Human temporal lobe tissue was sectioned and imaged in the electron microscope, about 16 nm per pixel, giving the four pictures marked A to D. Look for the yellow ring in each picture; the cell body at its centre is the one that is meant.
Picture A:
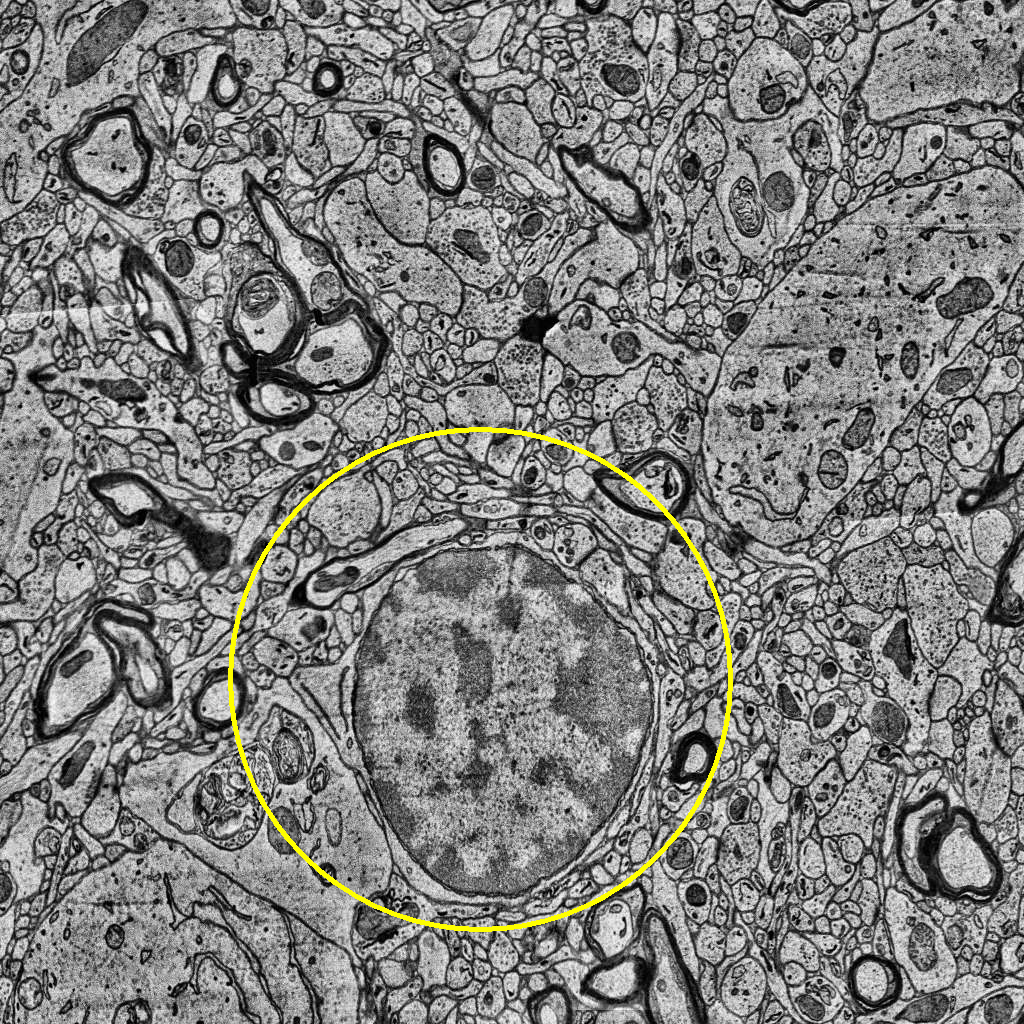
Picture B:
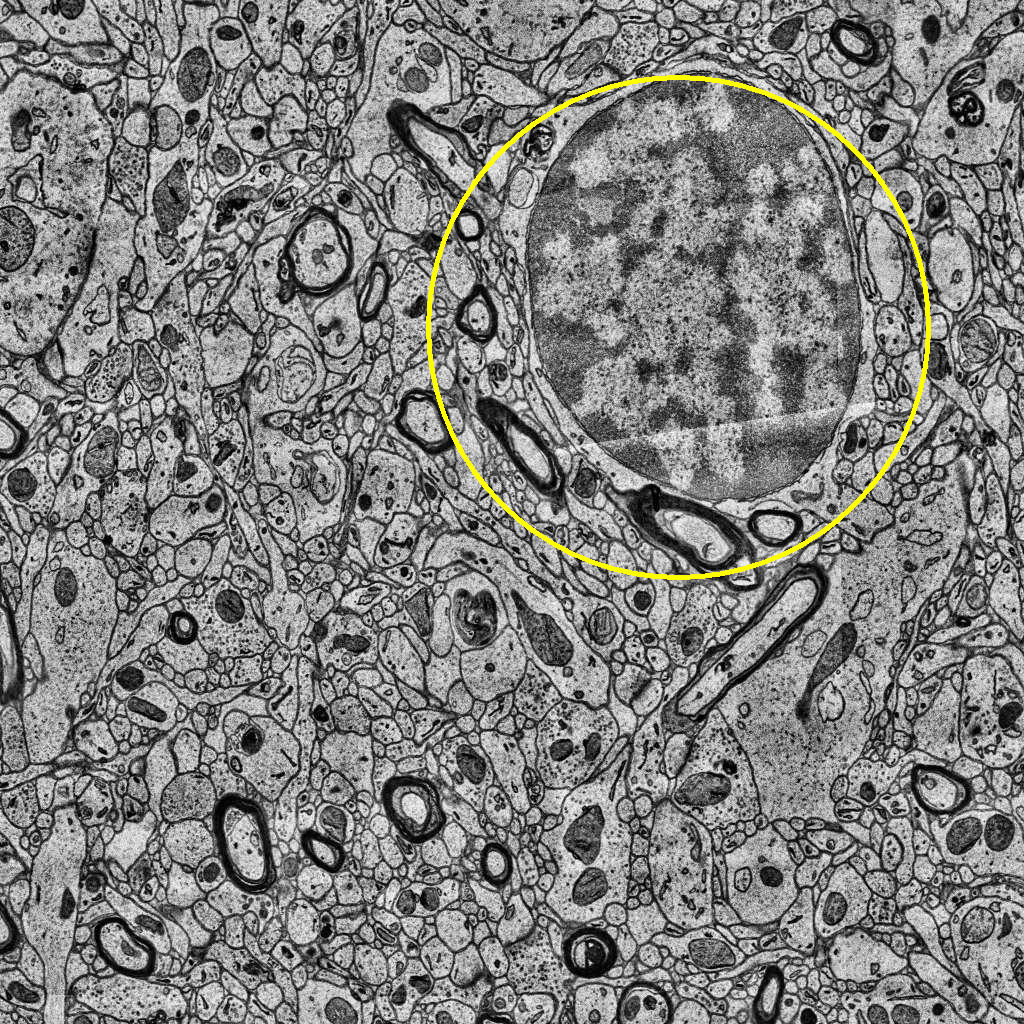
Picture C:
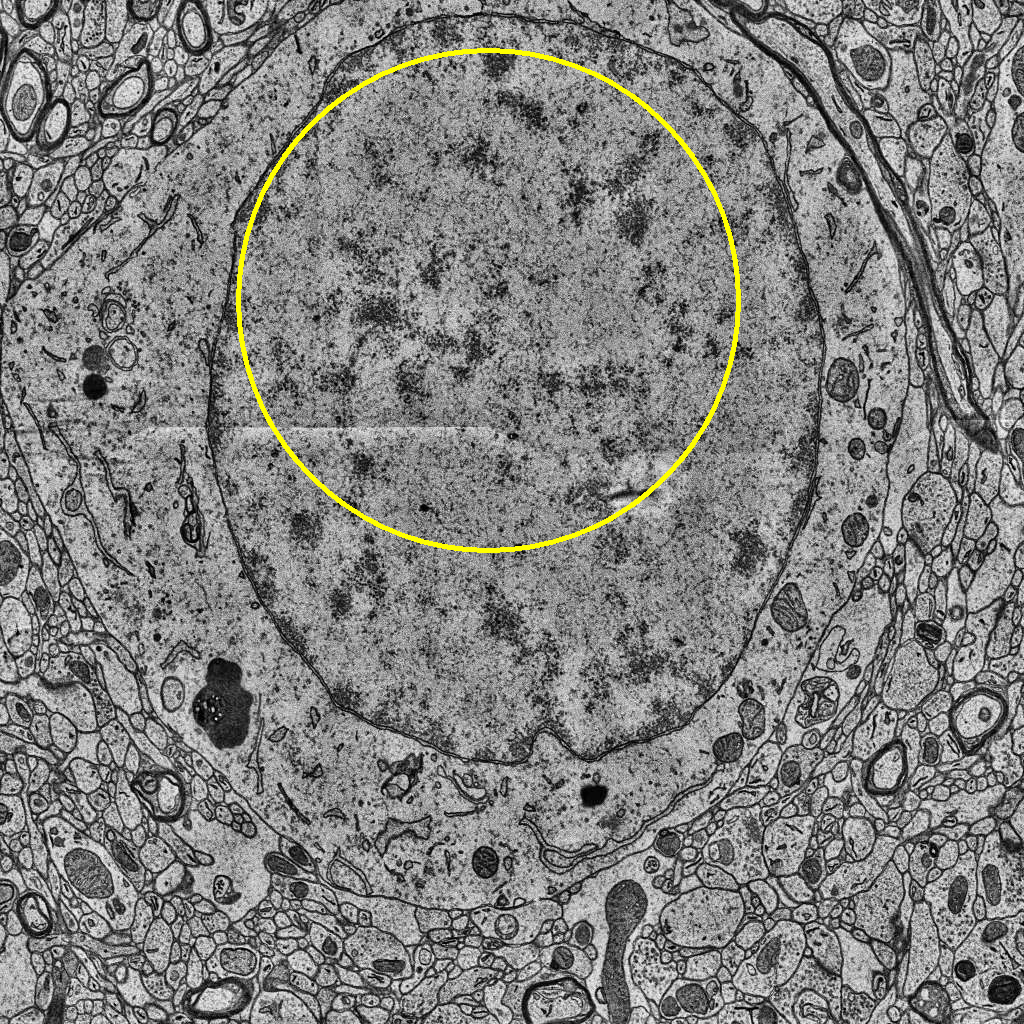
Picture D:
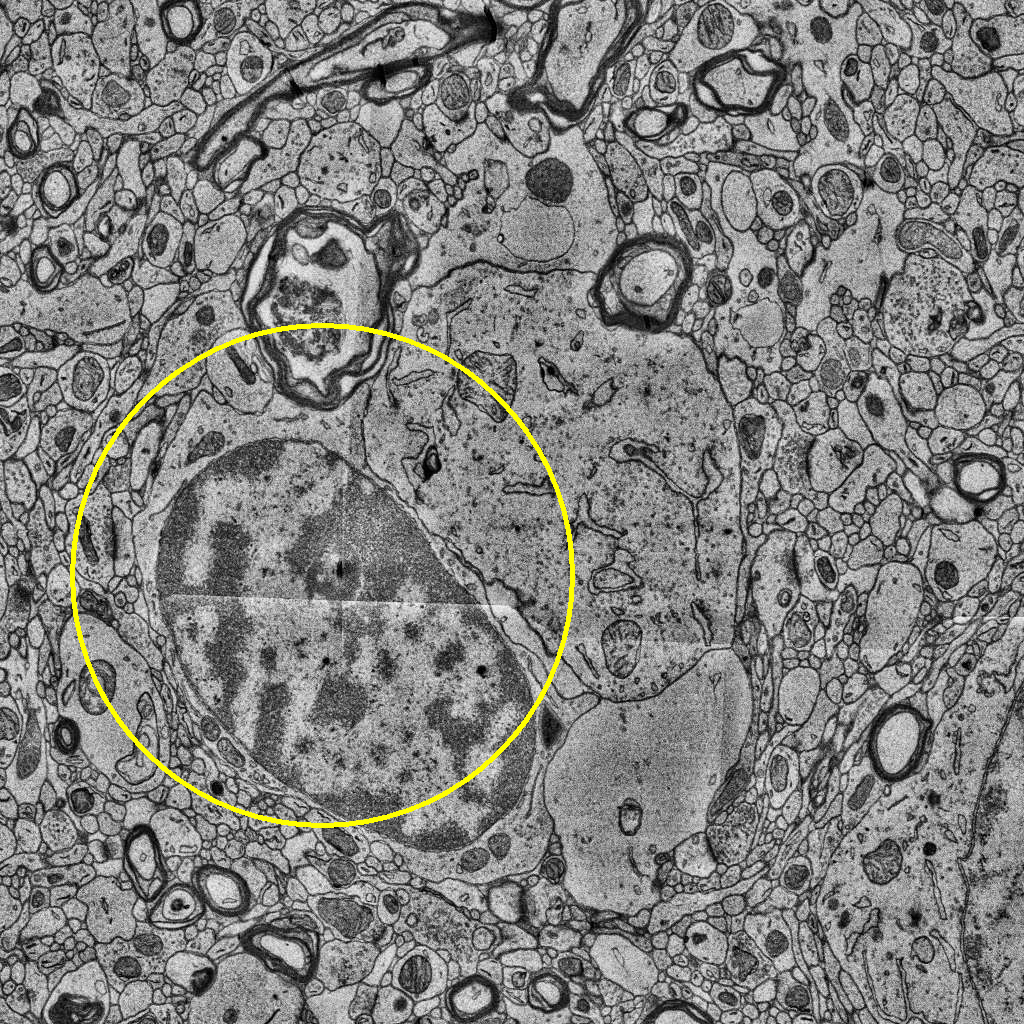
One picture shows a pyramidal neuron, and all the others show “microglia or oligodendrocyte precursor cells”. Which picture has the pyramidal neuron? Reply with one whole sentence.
The cell in picture C is the pyramidal neuron.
